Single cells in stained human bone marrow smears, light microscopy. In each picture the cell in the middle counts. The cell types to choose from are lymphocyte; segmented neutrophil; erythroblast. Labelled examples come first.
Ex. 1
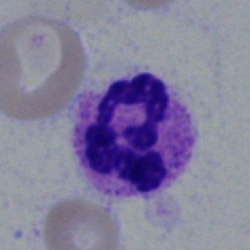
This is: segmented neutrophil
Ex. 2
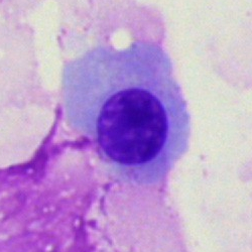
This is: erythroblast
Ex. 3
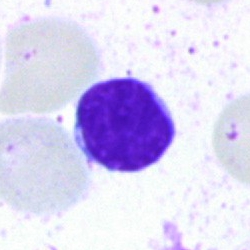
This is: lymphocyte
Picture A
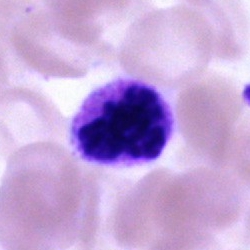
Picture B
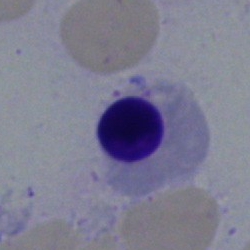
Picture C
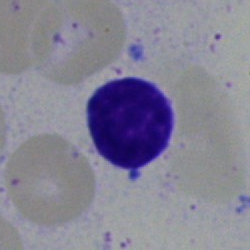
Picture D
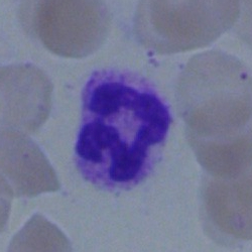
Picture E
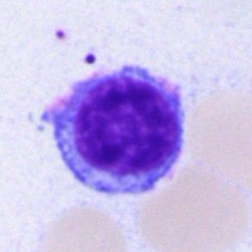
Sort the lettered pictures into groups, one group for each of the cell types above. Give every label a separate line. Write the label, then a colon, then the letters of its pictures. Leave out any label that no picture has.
lymphocyte: C, E
segmented neutrophil: A, D
erythroblast: B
